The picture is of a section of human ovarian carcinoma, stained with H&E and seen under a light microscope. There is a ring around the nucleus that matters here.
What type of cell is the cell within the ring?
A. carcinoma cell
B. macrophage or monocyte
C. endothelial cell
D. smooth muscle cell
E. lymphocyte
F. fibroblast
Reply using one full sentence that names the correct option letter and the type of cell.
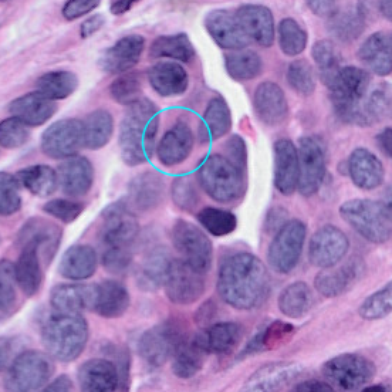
The accurate option is A, with the cell within the ring being a carcinoma cell.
